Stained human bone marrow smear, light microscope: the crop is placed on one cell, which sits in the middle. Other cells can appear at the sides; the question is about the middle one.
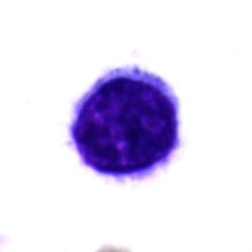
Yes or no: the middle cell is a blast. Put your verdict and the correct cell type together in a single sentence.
No, it is a lymphocyte rather than a blast that the middle of the crop contains.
